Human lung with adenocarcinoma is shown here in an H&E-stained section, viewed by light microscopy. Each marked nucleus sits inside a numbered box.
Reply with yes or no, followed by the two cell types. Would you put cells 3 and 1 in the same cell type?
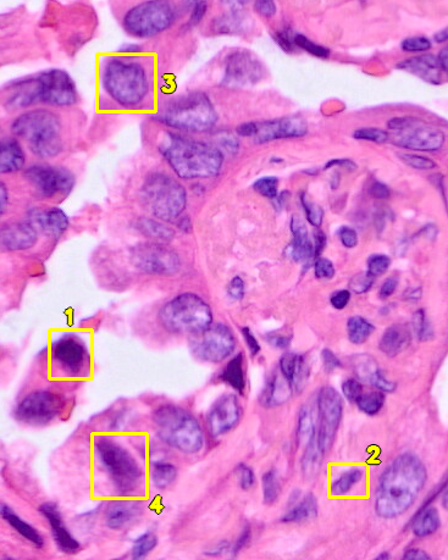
Yes, both are carcinoma cells.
